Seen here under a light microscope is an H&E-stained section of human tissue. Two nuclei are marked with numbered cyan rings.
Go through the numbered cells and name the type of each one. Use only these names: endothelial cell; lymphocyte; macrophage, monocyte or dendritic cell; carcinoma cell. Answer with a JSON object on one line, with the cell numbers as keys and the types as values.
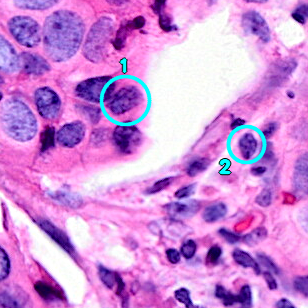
{"1": "carcinoma cell", "2": "lymphocyte"}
